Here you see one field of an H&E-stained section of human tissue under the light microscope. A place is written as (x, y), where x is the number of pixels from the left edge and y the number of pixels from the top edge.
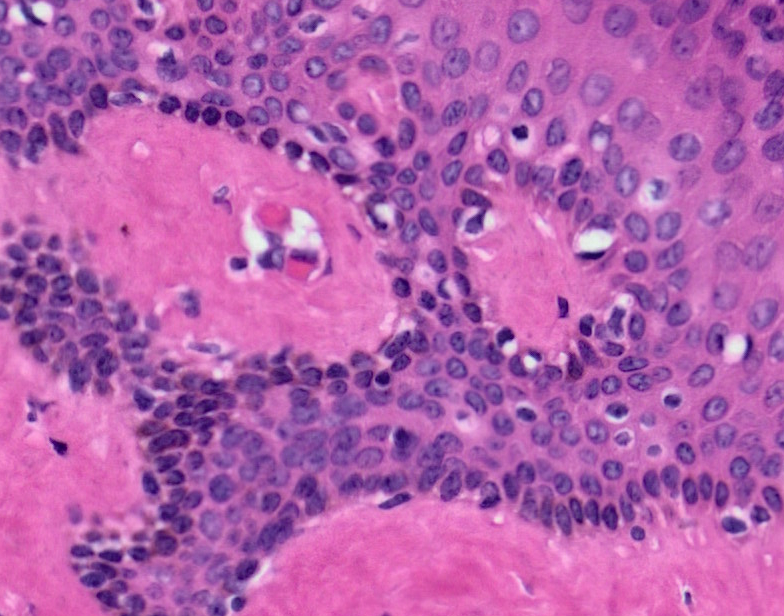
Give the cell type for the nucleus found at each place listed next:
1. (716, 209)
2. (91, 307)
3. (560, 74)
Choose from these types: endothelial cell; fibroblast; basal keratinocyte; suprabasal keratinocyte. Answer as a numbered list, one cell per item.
1. suprabasal keratinocyte
2. basal keratinocyte
3. suprabasal keratinocyte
